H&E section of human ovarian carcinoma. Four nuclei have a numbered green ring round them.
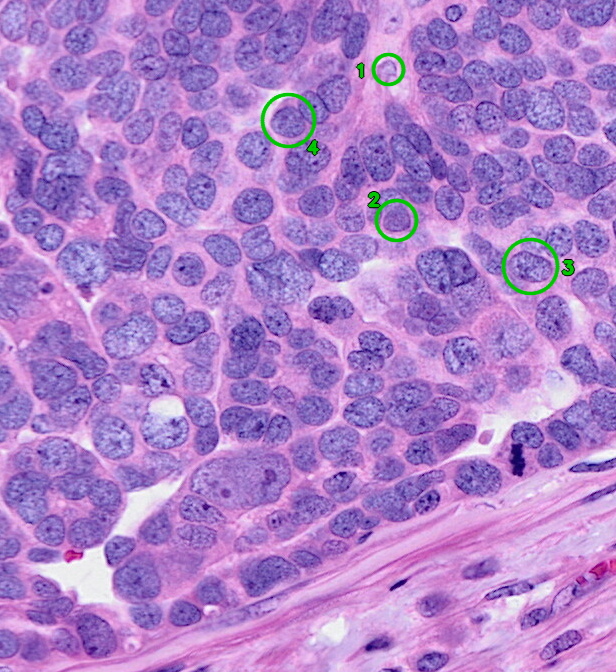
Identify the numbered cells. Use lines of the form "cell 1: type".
cell 1: fibroblast
cell 2: carcinoma cell
cell 3: carcinoma cell
cell 4: carcinoma cell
